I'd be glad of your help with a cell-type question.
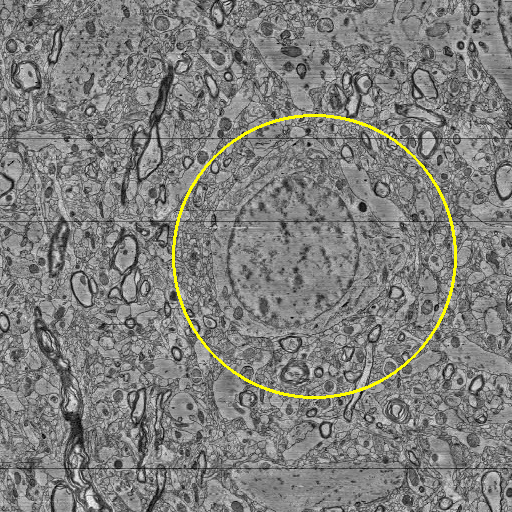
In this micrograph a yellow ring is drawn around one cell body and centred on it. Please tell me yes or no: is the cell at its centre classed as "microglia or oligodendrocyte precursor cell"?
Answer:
no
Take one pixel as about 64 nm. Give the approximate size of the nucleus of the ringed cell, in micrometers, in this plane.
Approximately 10 by 8 micrometers in this plane.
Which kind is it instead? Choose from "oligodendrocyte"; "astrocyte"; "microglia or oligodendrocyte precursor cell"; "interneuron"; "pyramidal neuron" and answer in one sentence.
Instead, what sits at the centre of the ring is an interneuron.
